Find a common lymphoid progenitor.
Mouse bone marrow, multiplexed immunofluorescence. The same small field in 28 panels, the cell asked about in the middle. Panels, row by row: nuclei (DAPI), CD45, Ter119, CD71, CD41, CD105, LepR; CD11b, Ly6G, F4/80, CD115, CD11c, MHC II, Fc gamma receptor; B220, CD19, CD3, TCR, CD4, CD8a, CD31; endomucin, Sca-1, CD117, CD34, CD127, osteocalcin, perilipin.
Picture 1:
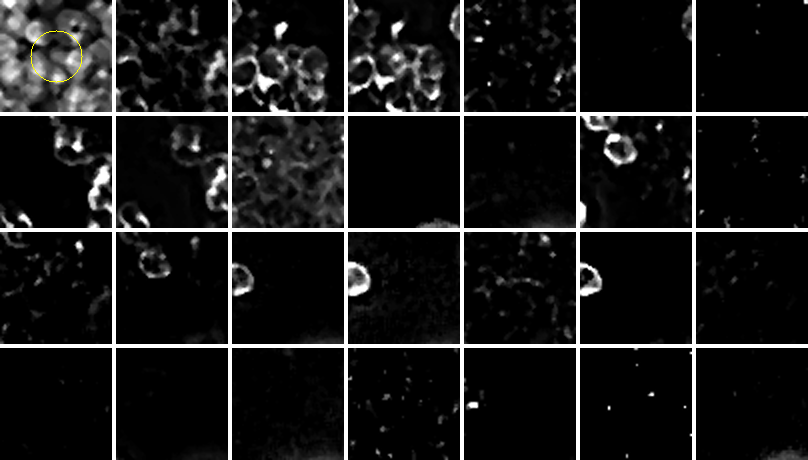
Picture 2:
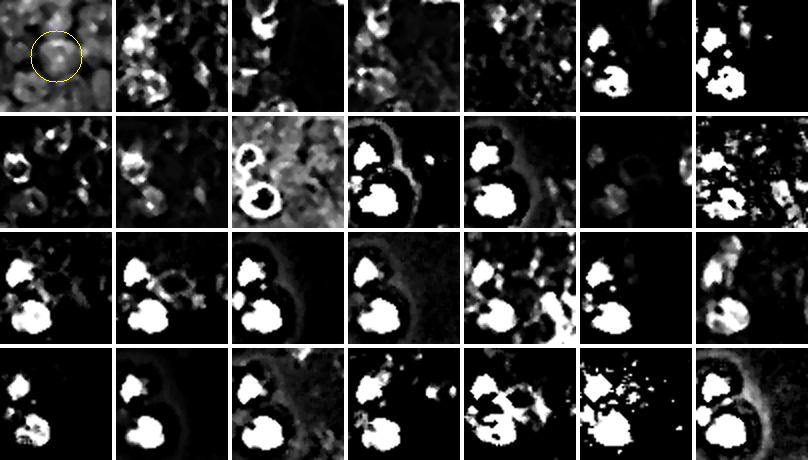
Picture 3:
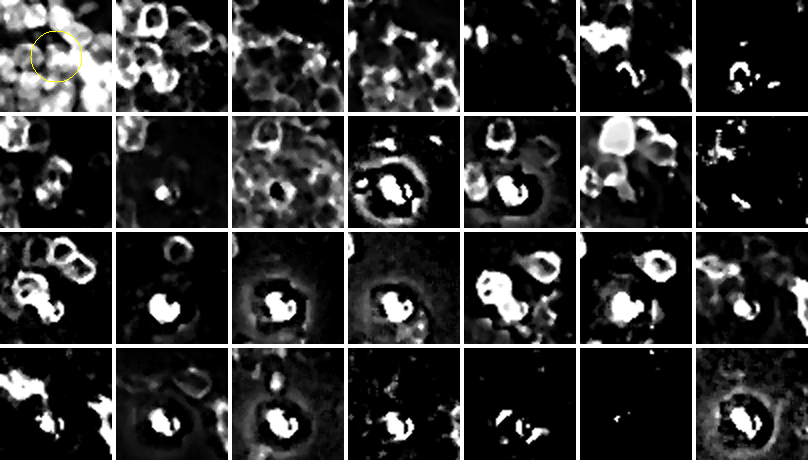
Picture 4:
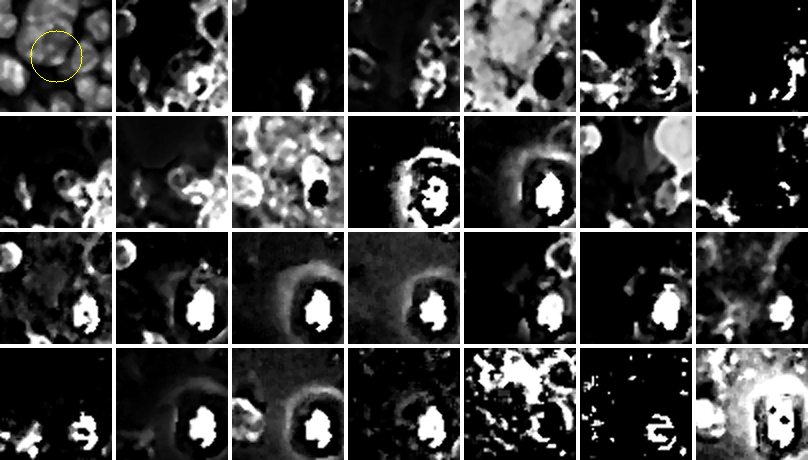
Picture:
2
